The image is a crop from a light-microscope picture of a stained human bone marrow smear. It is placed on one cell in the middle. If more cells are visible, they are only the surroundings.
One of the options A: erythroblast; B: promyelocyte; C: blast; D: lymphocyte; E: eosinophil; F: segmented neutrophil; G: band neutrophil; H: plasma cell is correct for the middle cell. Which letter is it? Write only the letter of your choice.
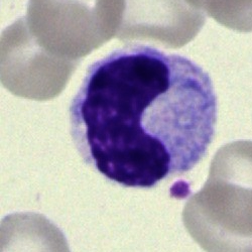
G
